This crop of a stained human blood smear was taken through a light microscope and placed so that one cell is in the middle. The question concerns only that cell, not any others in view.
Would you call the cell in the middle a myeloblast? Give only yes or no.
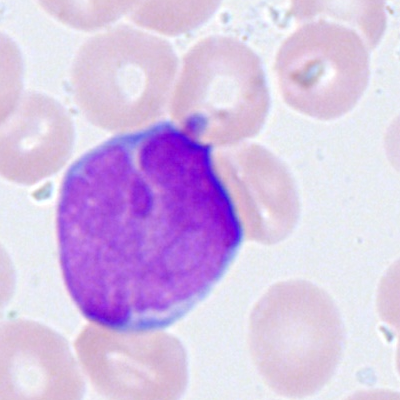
yes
